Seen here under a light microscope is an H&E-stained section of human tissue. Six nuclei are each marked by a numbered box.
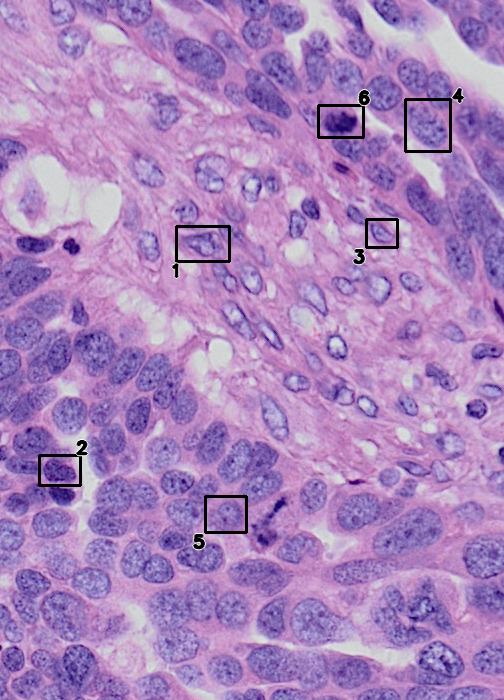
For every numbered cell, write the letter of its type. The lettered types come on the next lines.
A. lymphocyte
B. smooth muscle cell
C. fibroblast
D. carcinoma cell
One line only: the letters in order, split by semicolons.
C; D; C; D; D; D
